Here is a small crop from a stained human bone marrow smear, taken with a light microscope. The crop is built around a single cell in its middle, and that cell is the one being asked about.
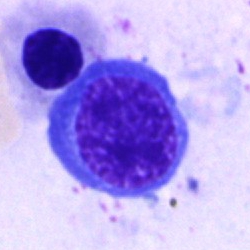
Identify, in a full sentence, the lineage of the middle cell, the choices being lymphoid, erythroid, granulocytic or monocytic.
The centered cell is one of the erythroid lineage.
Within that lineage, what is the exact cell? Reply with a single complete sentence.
Whatever else lies nearby, the middle cell is an erythroblast.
